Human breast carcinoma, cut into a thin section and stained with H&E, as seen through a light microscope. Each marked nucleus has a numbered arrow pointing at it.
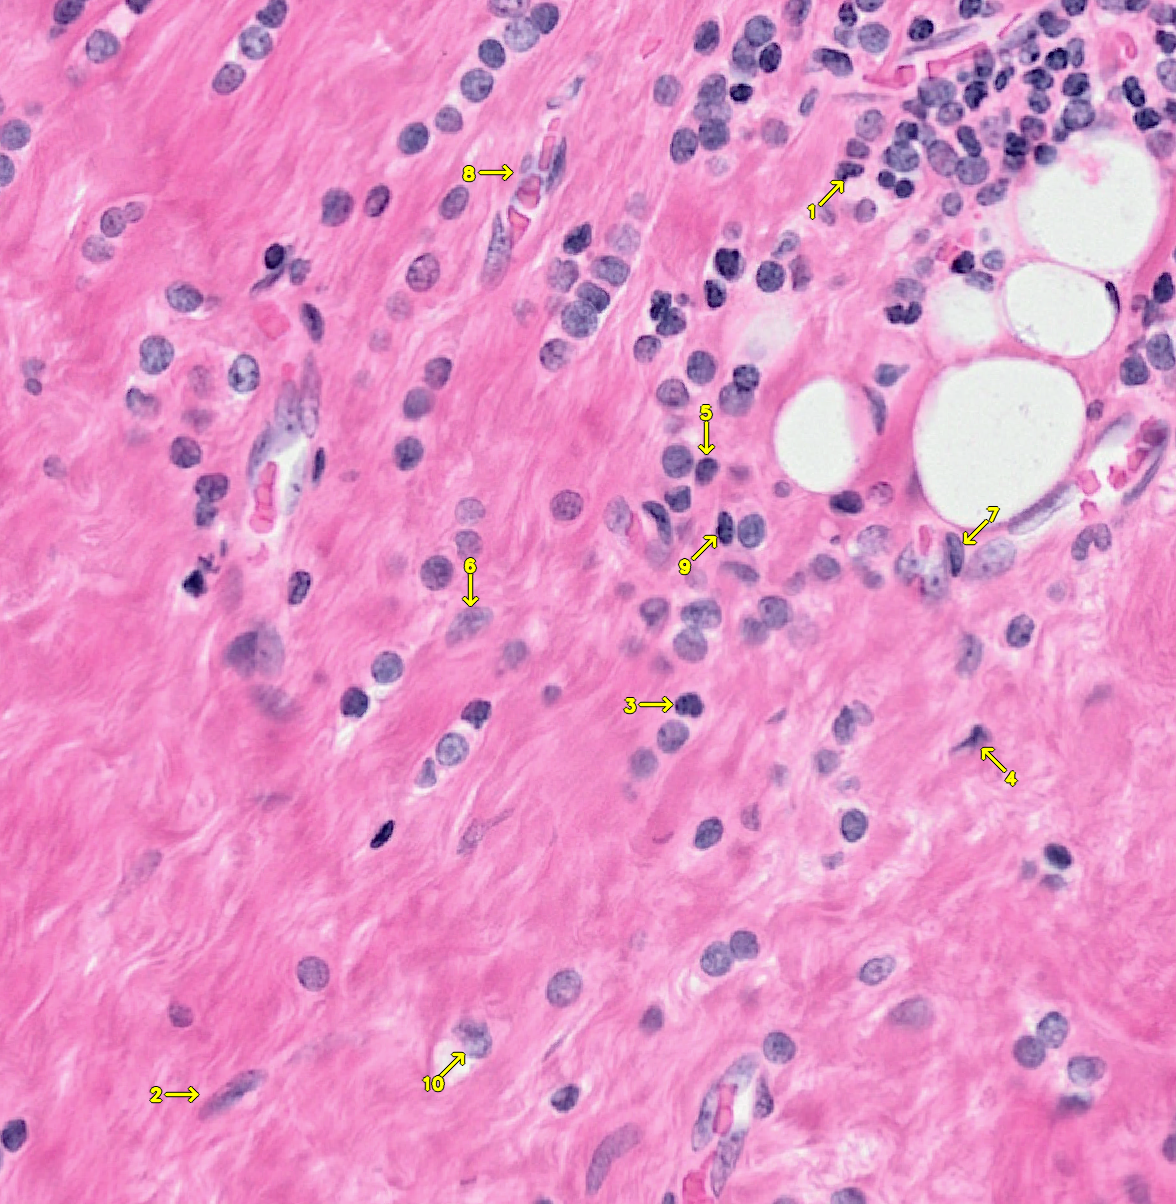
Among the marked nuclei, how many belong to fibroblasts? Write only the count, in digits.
4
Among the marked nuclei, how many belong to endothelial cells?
2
